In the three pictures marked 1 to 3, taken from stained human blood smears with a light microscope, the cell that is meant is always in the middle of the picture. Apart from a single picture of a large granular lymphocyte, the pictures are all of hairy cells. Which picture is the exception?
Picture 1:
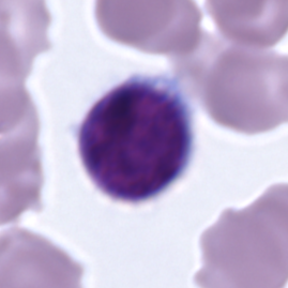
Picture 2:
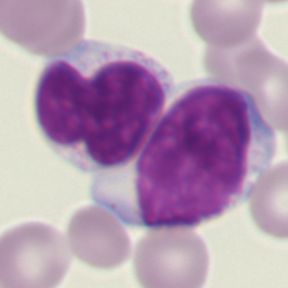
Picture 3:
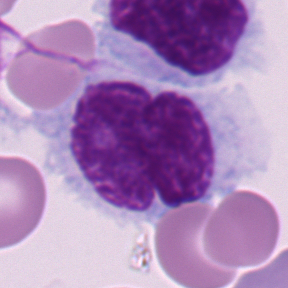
2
